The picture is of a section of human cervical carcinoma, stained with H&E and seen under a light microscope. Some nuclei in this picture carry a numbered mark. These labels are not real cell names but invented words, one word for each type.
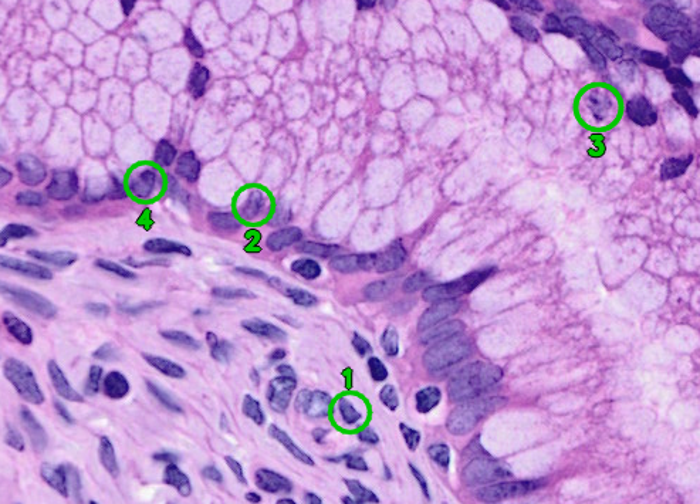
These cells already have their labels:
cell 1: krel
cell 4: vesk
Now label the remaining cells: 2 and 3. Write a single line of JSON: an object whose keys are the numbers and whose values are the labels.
{"2": "vesk", "3": "vesk"}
